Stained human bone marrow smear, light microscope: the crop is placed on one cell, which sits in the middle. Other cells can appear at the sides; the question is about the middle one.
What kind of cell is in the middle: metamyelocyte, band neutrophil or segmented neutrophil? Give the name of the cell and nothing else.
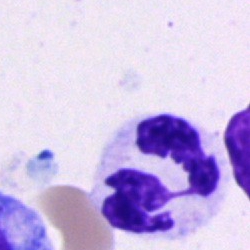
segmented neutrophil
